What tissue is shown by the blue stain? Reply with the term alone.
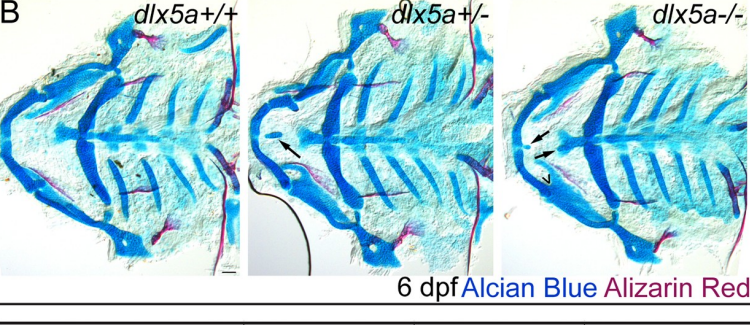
Cartilage.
